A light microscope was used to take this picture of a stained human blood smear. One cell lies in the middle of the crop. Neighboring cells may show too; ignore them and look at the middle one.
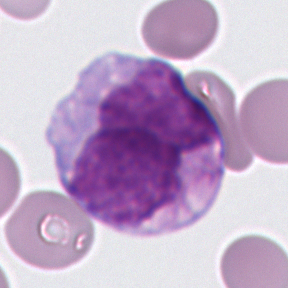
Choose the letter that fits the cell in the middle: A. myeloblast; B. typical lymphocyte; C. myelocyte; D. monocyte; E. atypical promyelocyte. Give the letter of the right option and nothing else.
E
